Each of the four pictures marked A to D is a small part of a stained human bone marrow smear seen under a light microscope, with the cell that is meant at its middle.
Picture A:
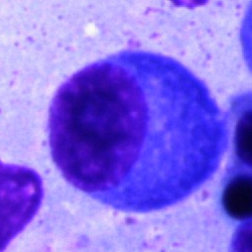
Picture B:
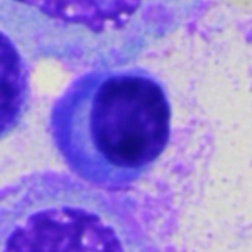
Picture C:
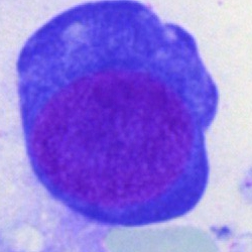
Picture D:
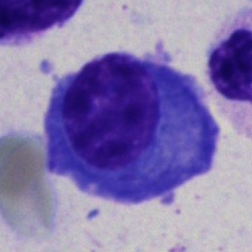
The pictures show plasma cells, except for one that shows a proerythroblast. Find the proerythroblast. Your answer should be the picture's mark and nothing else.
C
